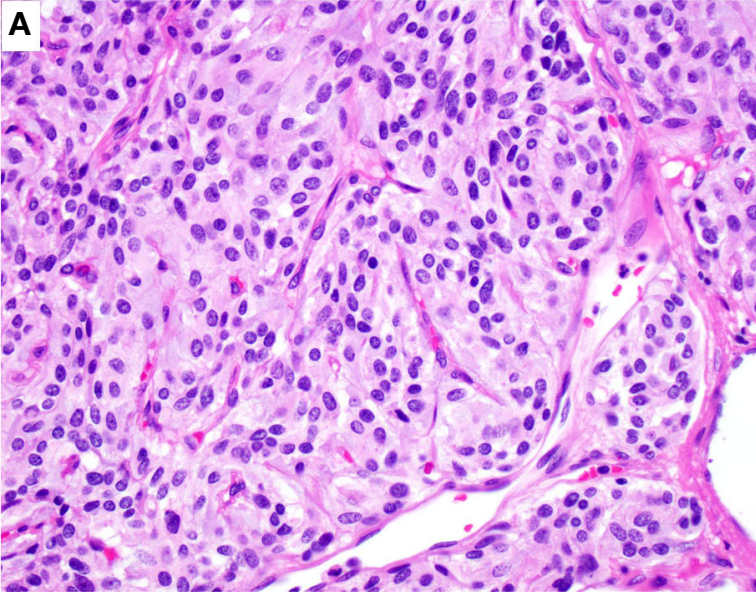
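This is a tumor seen at high power, its cells arranged in irregular nests surrounded by a fine capillary network of thin-walled vessels holding red blood cells. The tumor cells have moderate to abundant pale pink cytoplasm with indistinct borders. Their nuclei are round to oval with finely speckled, salt-and-pepper chromatin, and nucleoli are inconspicuous or absent. Thin pink fibrous septa outline each nest.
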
